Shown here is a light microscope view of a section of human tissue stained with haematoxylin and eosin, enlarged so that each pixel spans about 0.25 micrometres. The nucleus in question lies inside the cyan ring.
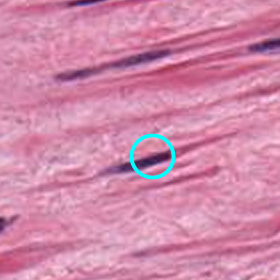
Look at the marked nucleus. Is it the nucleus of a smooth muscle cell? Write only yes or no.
yes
